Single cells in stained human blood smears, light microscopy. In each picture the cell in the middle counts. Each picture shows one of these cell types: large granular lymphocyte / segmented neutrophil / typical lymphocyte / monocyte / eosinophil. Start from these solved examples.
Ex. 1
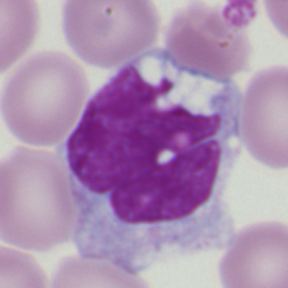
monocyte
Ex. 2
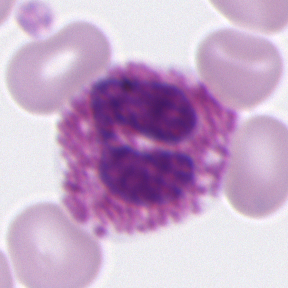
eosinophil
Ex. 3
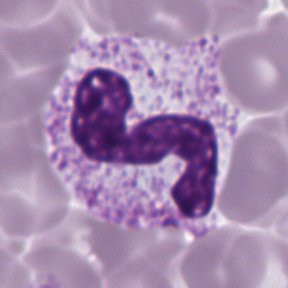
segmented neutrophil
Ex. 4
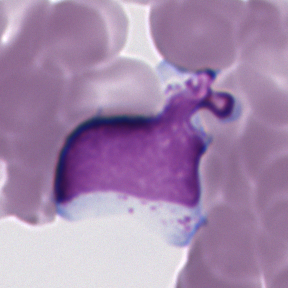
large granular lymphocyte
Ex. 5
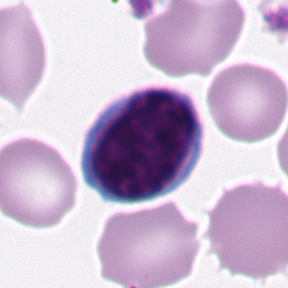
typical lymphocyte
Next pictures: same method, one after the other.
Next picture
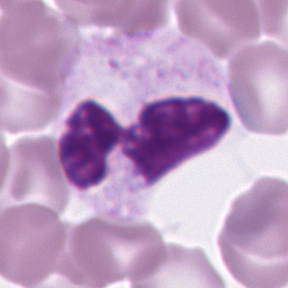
segmented neutrophil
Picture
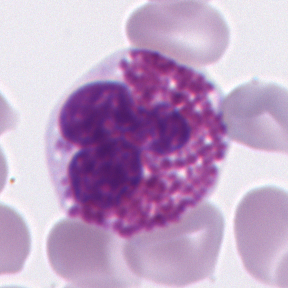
eosinophil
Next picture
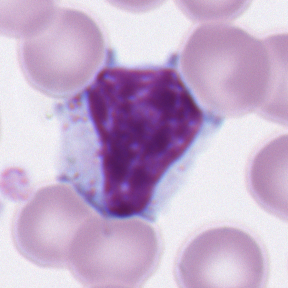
large granular lymphocyte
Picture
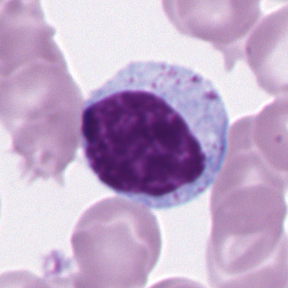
large granular lymphocyte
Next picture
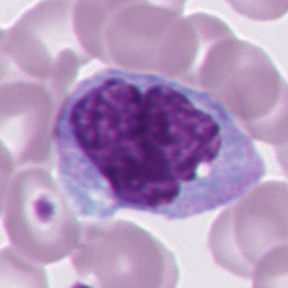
monocyte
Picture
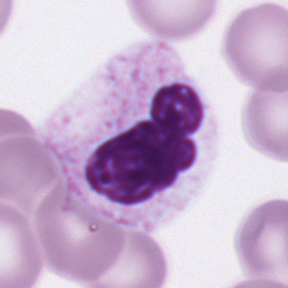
segmented neutrophil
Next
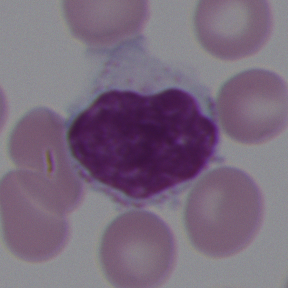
large granular lymphocyte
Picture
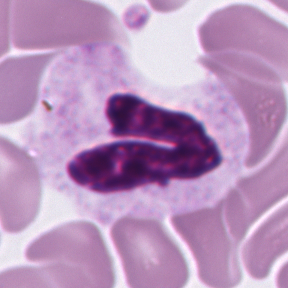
segmented neutrophil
